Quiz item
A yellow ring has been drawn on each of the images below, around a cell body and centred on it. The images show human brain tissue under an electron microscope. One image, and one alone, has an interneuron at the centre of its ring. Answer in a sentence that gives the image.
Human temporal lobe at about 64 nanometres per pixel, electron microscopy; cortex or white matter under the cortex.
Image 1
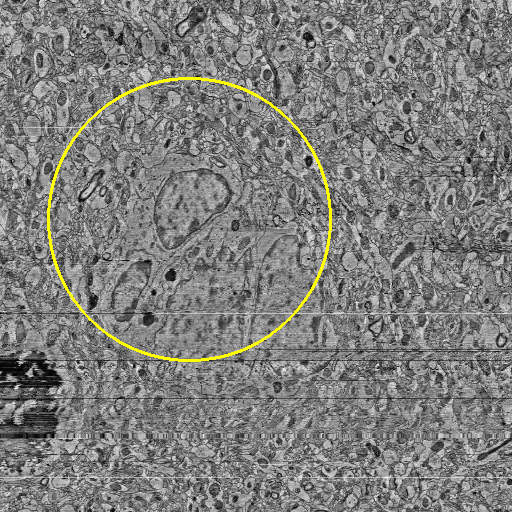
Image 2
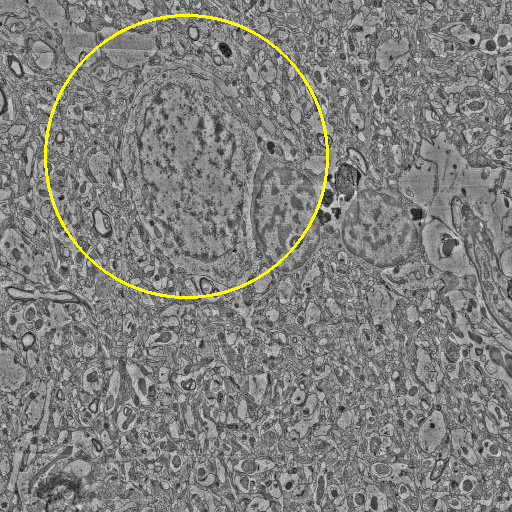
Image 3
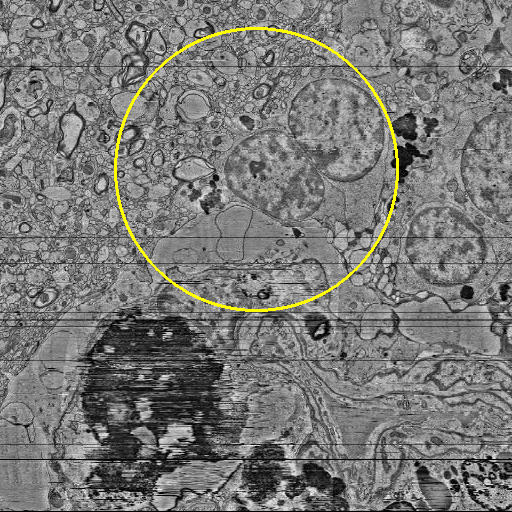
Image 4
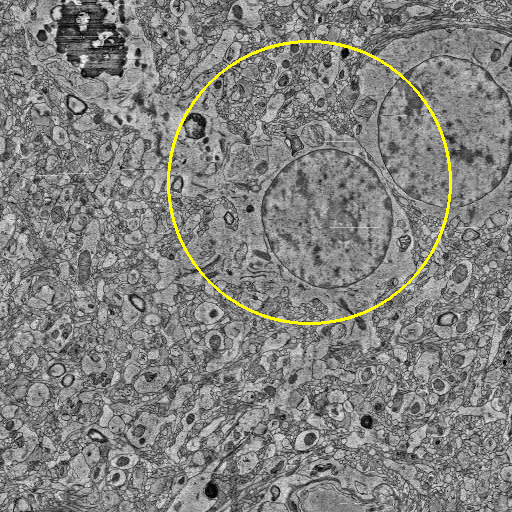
Image 2 shows it at the centre of the ring.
